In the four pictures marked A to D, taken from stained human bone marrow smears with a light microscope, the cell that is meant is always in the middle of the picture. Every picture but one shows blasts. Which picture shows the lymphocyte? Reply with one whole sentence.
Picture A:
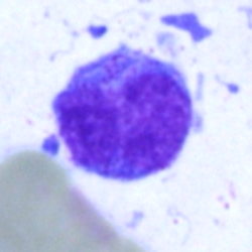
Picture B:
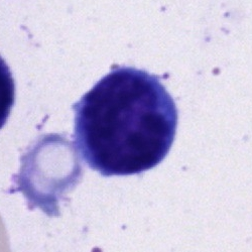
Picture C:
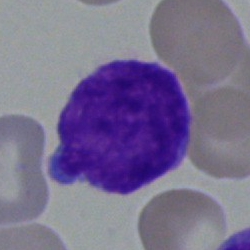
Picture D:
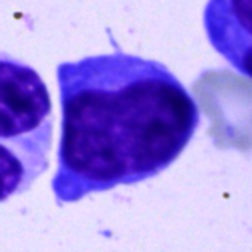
The picture with the lymphocyte is B.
